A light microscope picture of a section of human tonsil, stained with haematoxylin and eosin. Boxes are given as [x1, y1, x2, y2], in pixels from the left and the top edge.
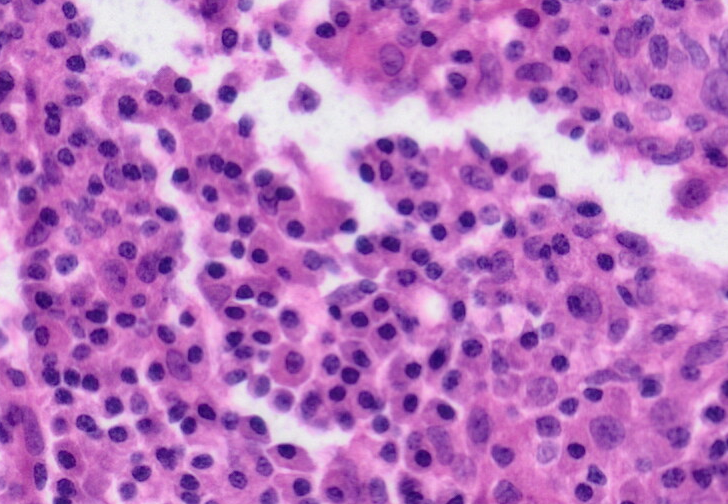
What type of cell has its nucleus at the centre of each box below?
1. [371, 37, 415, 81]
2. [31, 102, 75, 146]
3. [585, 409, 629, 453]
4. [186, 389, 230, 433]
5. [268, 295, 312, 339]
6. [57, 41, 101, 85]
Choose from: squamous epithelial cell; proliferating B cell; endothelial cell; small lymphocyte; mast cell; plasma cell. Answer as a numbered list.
1. squamous epithelial cell
2. plasma cell
3. squamous epithelial cell
4. plasma cell
5. plasma cell
6. plasma cell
